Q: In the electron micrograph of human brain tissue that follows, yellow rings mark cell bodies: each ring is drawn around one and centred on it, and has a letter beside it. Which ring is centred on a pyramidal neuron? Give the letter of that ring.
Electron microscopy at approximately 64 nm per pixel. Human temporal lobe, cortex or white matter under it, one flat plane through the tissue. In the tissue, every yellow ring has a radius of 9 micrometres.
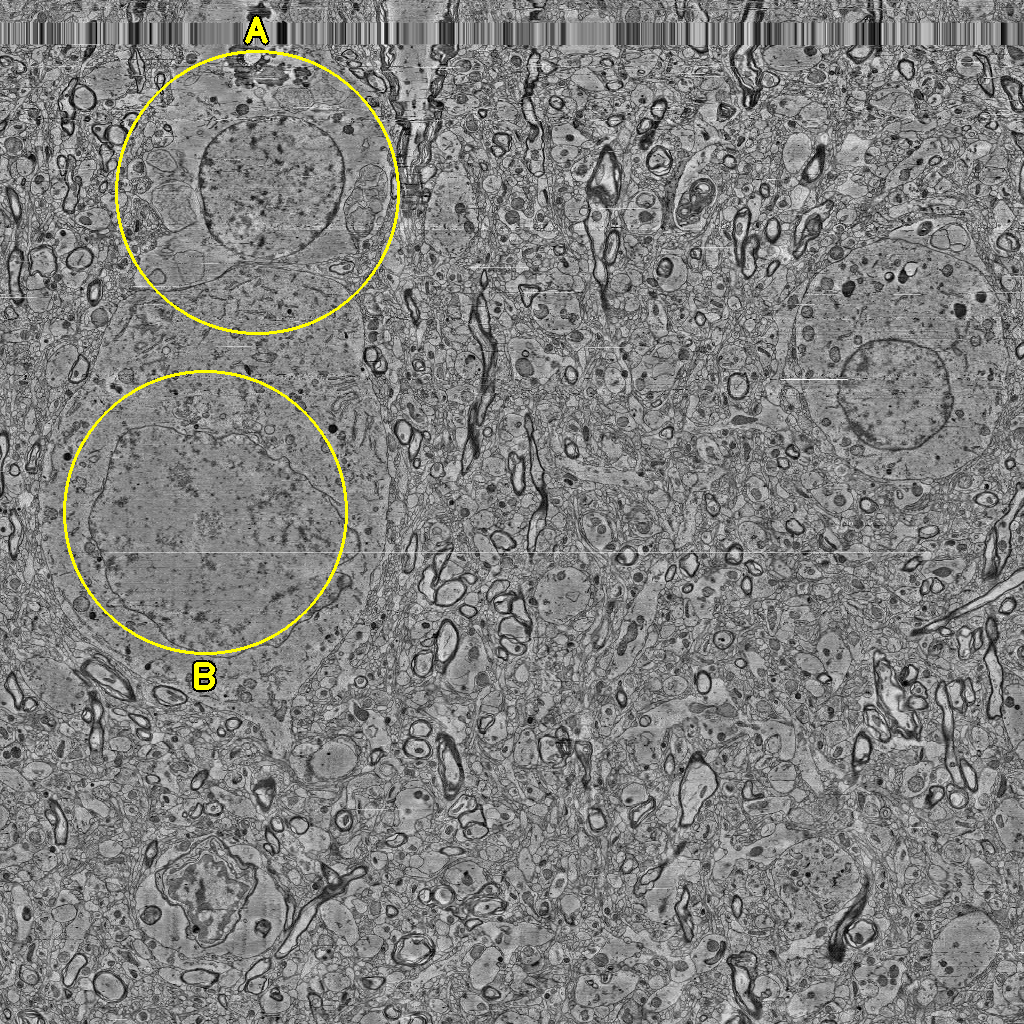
B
